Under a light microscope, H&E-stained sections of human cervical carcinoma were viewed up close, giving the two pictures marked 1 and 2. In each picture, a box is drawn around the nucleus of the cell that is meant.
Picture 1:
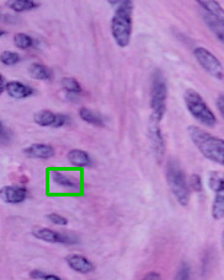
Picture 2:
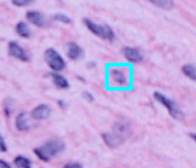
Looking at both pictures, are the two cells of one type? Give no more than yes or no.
yes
